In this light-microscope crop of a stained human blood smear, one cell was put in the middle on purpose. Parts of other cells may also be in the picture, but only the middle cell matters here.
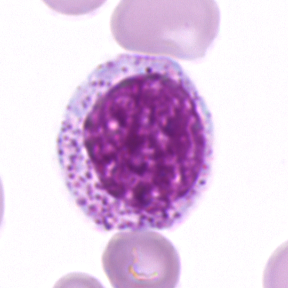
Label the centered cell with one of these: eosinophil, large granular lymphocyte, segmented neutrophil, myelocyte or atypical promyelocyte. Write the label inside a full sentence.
Answering briefly, the cell in the middle is a myelocyte.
